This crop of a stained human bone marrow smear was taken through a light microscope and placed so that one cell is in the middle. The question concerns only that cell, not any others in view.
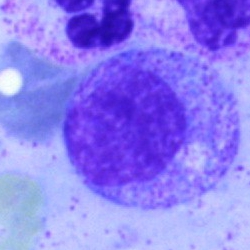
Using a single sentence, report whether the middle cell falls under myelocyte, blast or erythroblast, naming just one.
At the center of the crop sits a myelocyte.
